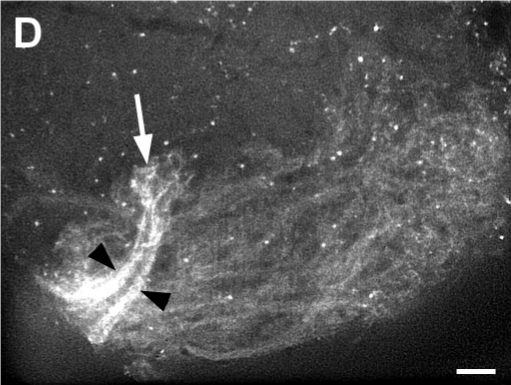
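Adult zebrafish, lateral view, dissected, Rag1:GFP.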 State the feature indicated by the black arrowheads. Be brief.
Axons.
